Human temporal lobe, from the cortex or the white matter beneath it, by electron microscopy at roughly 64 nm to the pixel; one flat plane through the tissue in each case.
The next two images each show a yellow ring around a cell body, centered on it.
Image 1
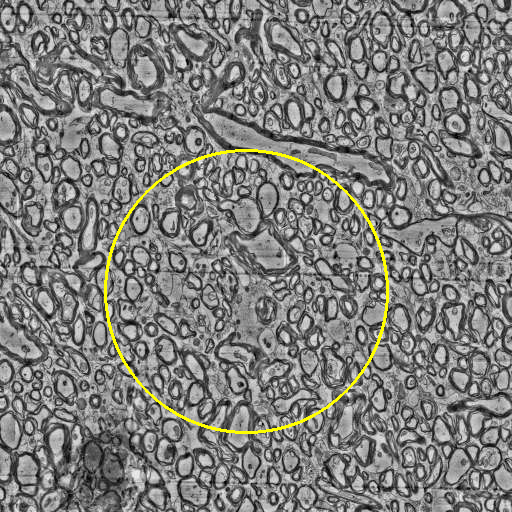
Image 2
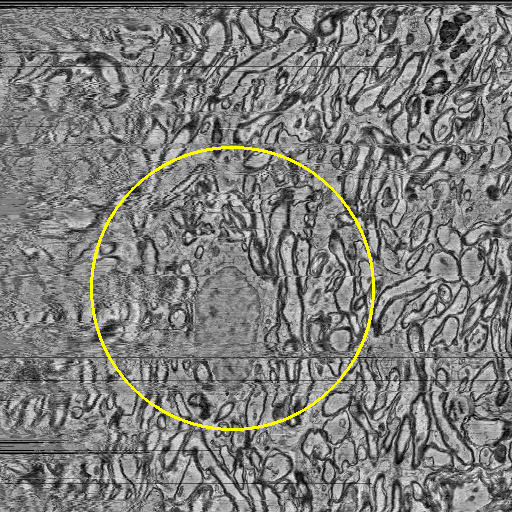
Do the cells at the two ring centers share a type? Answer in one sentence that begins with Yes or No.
Yes, across the two images the cells at the ring centers share one type.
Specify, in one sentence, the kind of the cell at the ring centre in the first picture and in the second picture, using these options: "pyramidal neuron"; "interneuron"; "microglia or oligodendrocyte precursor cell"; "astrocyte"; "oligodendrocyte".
Each of the two rings surrounds an oligodendrocyte.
